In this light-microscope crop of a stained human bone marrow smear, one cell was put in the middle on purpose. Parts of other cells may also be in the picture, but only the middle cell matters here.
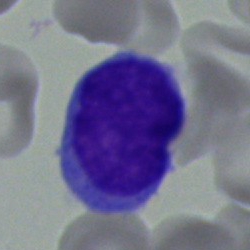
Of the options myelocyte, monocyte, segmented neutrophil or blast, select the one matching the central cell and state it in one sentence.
The identification for the central cell is a blast.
